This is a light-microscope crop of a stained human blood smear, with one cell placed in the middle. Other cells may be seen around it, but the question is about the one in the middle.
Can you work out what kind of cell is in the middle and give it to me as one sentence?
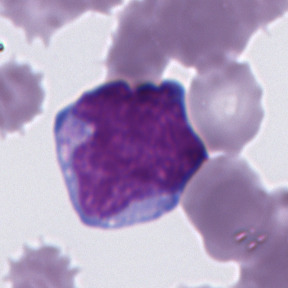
Within this crop, a myeloblast occupies the central position.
